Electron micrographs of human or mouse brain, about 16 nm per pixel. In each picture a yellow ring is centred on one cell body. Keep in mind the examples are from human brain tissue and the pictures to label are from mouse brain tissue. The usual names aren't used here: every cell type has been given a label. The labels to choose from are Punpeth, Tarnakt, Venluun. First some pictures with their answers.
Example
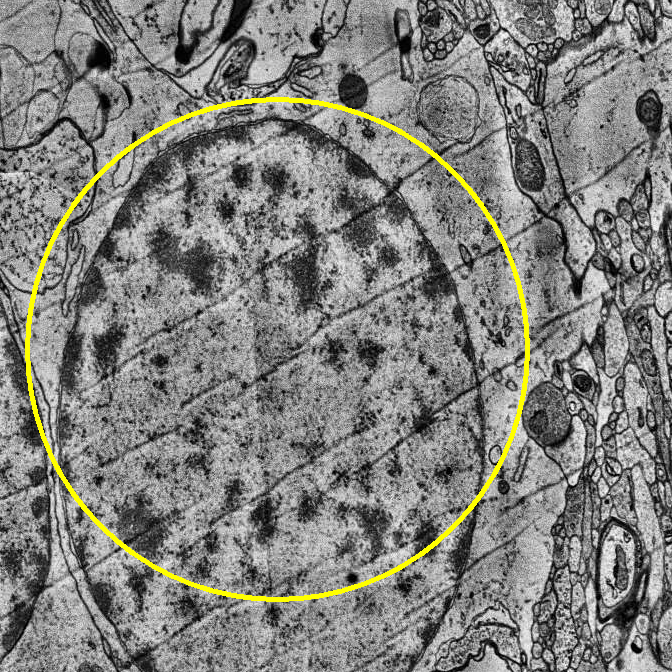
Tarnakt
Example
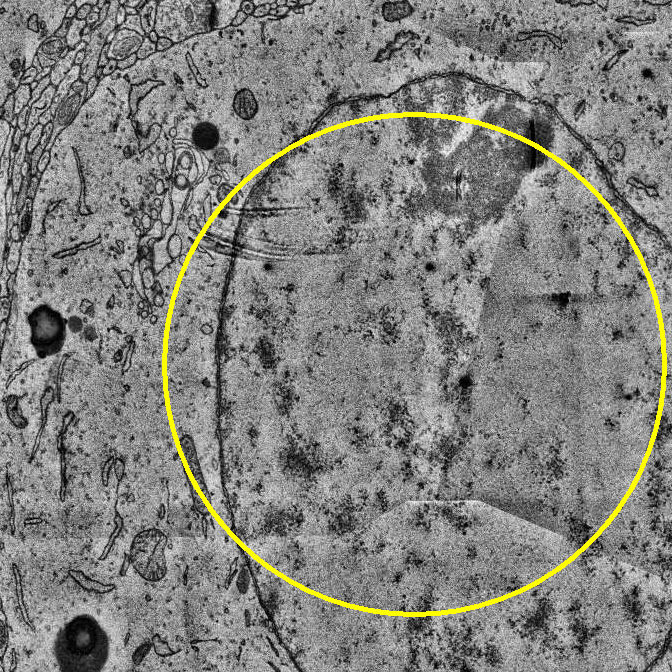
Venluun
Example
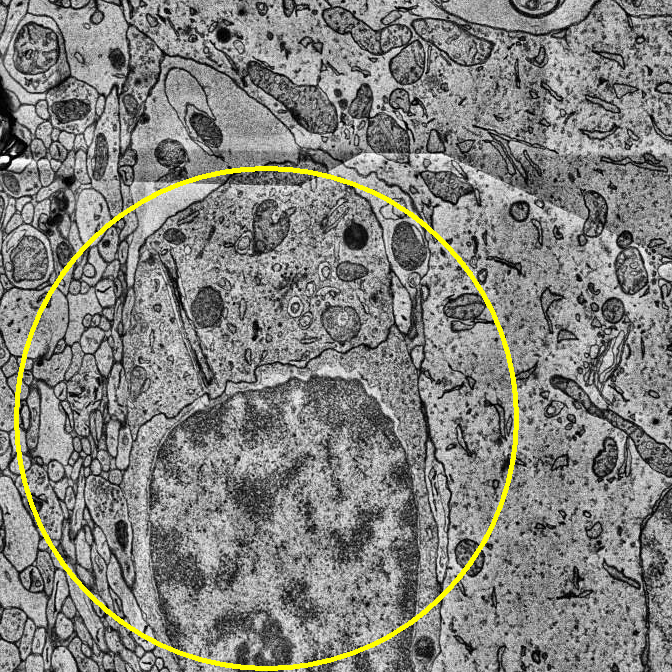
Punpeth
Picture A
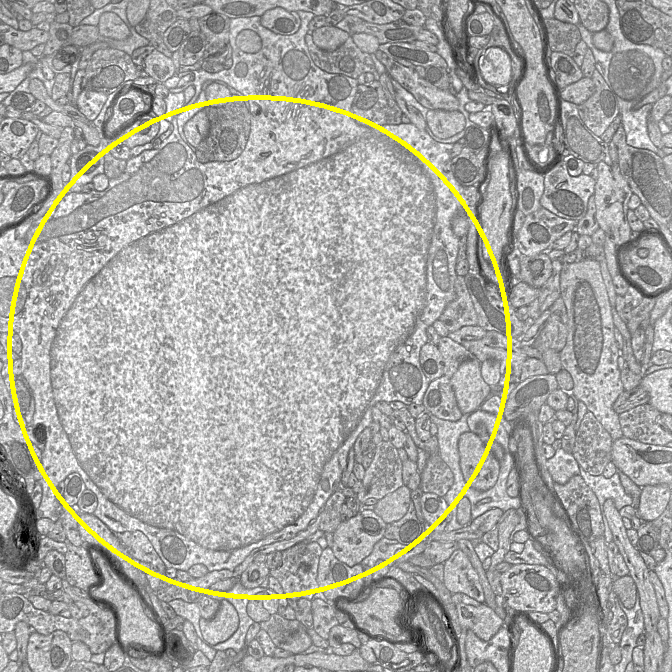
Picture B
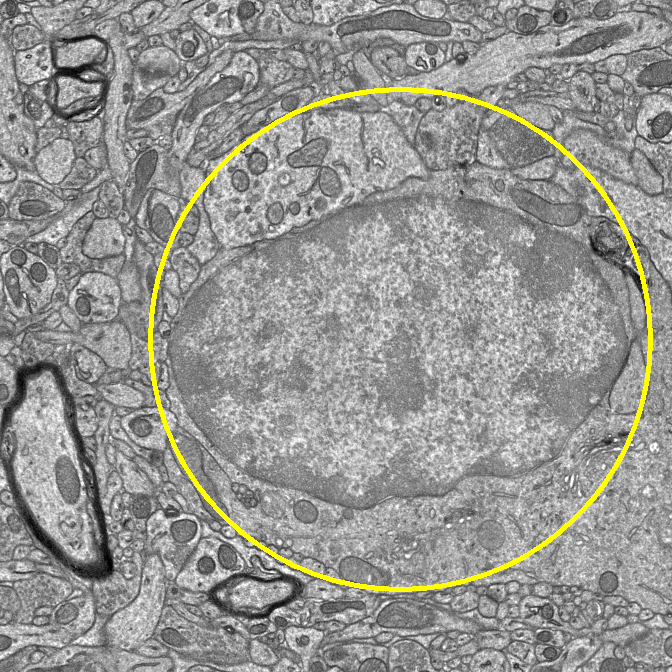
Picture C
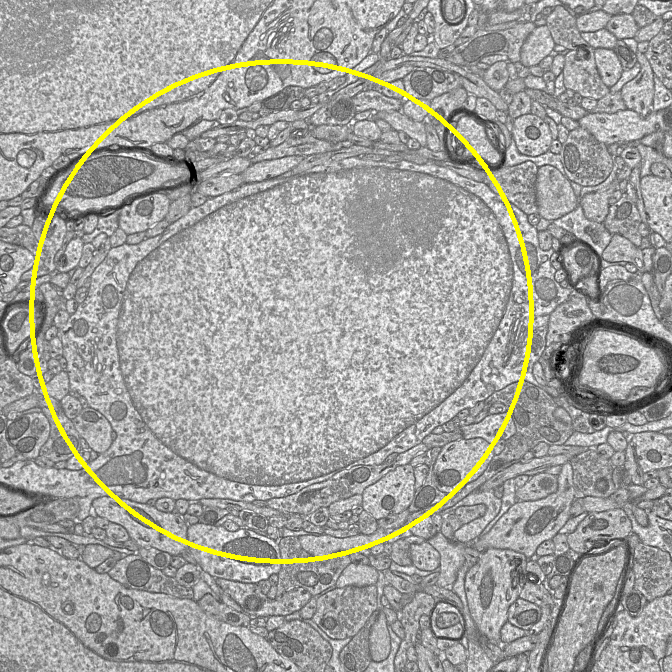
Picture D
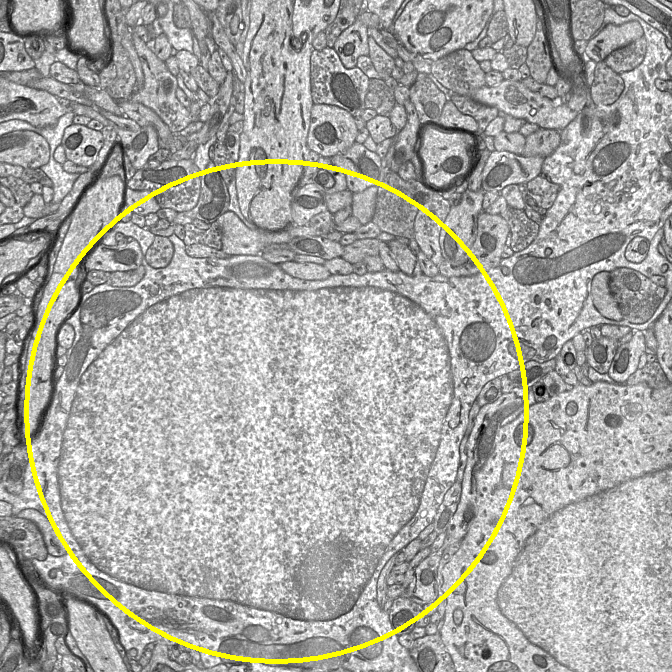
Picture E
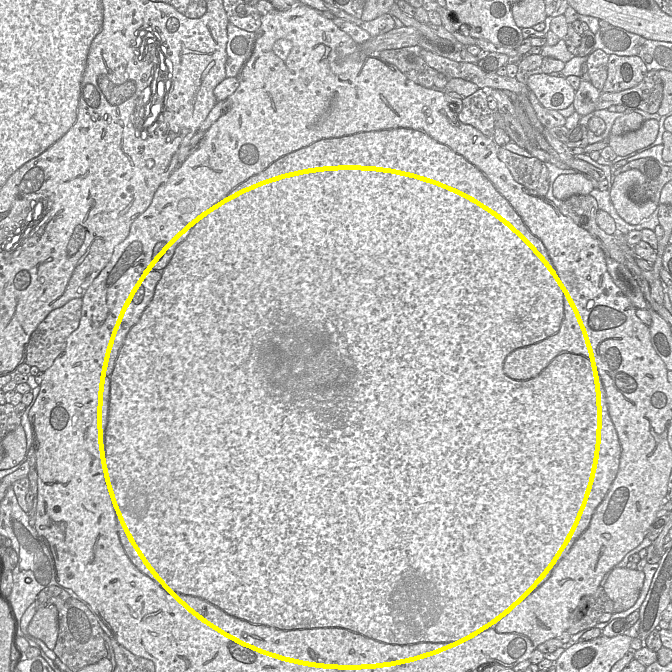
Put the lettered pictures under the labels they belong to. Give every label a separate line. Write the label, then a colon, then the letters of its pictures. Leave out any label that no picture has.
Punpeth: B
Tarnakt: A, C, D
Venluun: E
